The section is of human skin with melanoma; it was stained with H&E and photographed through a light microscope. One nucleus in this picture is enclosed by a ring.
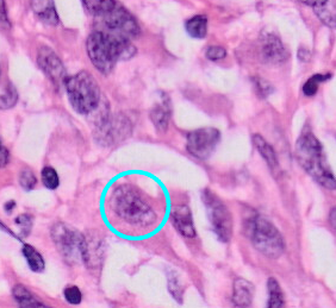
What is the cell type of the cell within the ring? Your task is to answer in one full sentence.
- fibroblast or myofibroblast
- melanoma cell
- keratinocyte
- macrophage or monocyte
The classification of the cell within the ring is as a melanoma cell.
